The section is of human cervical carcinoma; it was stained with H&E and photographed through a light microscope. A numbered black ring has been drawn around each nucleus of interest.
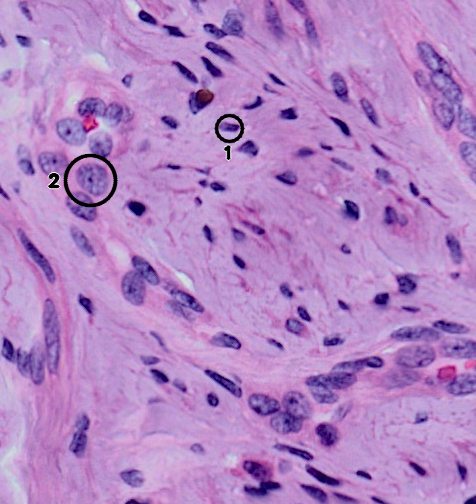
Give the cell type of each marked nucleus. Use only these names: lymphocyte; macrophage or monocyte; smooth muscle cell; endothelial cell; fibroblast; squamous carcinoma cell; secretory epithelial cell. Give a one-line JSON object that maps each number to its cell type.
{"1": "fibroblast", "2": "endothelial cell"}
